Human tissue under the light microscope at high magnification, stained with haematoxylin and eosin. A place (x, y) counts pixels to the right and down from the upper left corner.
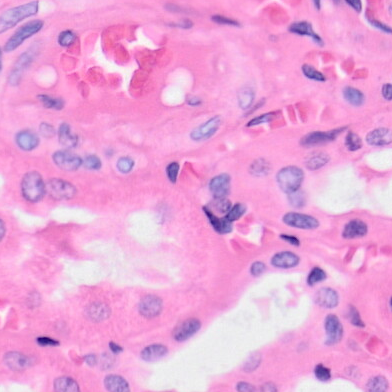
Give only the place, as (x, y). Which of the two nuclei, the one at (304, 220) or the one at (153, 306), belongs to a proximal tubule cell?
(153, 306)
